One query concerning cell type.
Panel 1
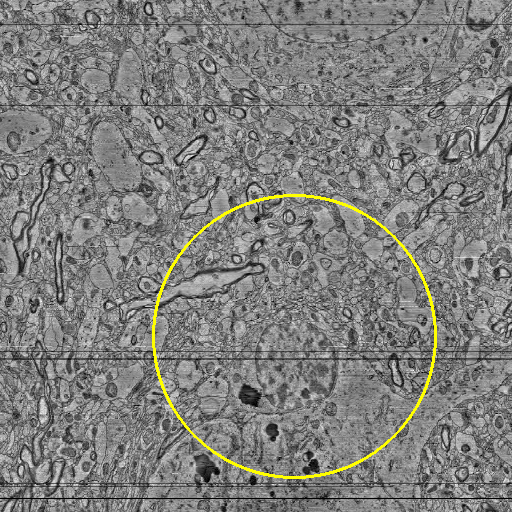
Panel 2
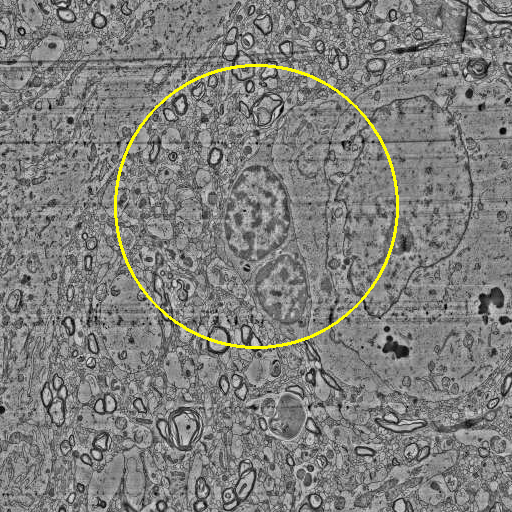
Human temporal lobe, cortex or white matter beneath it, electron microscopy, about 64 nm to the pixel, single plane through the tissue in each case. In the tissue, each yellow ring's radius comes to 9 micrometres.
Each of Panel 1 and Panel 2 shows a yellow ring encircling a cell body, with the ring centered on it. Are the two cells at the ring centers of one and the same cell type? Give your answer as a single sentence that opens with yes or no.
Yes, the cell centered in Panel 1 and the one in Panel 2 share a type.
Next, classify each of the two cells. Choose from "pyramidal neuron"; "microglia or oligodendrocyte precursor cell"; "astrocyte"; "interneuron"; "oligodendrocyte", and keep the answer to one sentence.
Both cells are the same kind, each one being an oligodendrocyte.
